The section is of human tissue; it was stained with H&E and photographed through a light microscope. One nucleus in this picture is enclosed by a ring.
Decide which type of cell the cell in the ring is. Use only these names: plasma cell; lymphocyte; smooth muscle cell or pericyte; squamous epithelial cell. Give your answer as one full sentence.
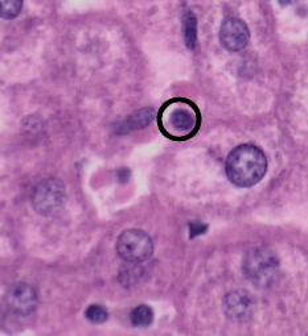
On this particular slide, the cell in the ring is a lymphocyte.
